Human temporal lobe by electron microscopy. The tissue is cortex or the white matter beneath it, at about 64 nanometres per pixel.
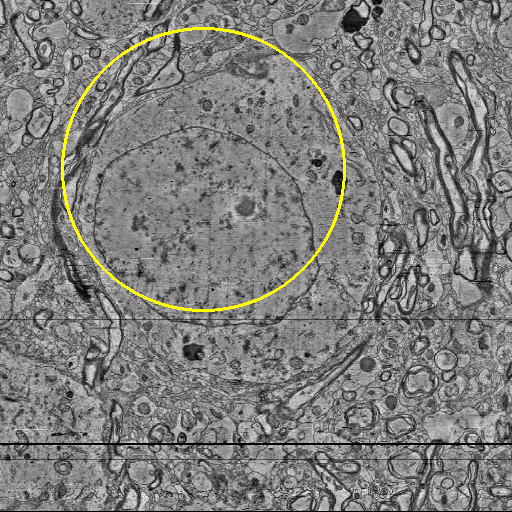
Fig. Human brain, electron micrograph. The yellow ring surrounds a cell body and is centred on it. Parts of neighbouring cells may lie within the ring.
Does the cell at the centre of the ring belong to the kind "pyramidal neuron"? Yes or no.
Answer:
yes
